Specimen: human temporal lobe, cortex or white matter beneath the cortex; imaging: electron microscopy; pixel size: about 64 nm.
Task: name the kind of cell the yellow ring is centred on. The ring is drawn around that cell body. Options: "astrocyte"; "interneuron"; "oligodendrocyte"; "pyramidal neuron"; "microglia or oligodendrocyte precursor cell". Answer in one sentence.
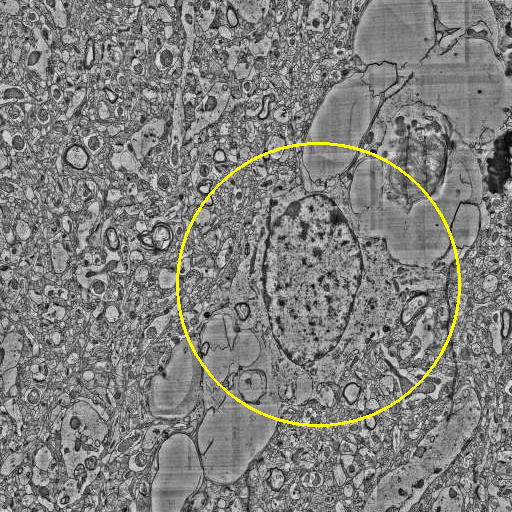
This cell body belongs to a microglial cell or oligodendrocyte precursor cell.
